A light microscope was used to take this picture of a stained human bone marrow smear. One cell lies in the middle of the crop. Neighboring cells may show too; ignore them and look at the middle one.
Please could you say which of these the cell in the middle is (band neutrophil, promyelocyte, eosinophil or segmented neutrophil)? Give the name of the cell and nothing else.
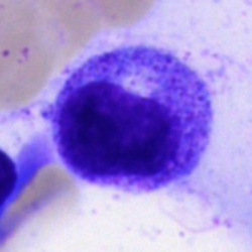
promyelocyte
